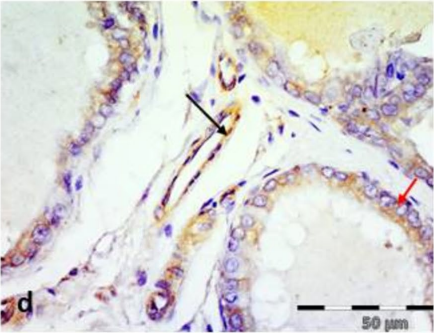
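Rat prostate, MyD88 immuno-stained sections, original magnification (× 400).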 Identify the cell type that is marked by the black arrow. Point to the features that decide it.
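The arrow points to a narrow elongated channel in the connective tissue between glands. Flattened cells with elongated nuclei line the channel. The lining of the channel is stained brown. So: endothelial cells lining blood vessels in stroma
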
